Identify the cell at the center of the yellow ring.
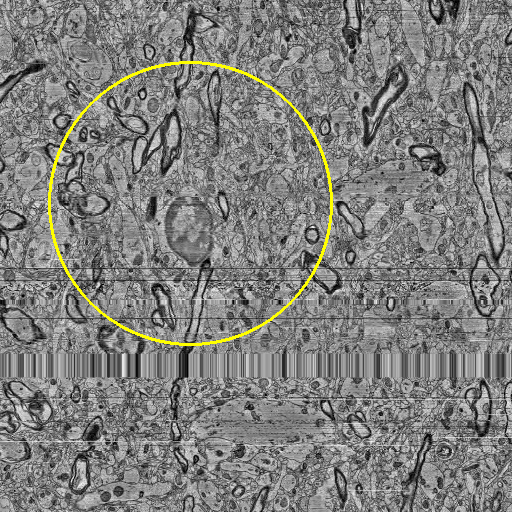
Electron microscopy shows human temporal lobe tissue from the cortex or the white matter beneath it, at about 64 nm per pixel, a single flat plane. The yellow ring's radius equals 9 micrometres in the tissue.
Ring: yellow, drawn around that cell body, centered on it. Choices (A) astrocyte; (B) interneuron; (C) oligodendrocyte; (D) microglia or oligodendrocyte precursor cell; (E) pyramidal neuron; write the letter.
D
